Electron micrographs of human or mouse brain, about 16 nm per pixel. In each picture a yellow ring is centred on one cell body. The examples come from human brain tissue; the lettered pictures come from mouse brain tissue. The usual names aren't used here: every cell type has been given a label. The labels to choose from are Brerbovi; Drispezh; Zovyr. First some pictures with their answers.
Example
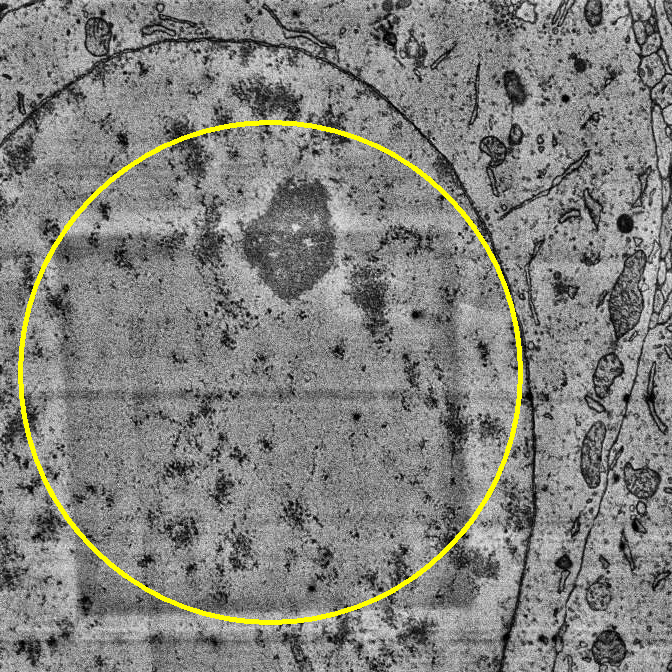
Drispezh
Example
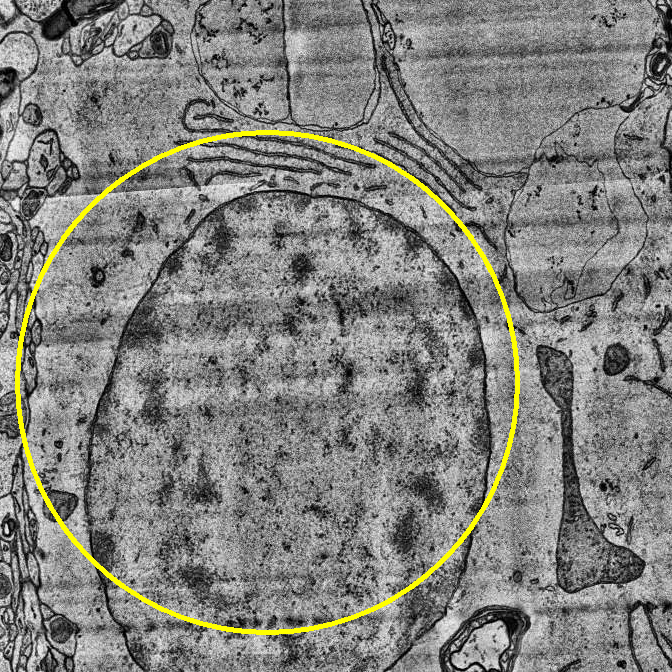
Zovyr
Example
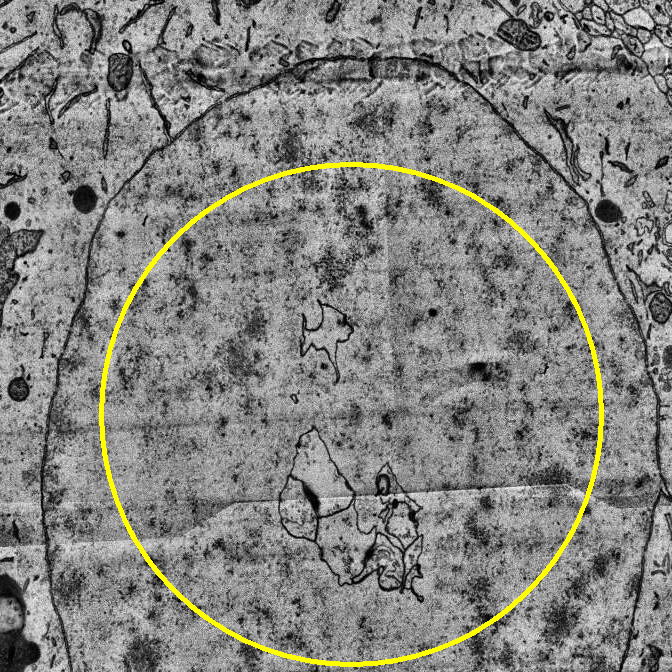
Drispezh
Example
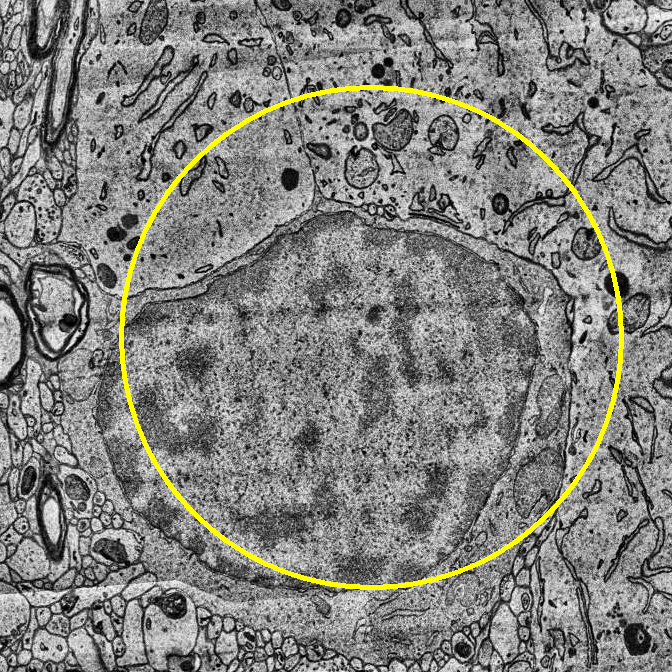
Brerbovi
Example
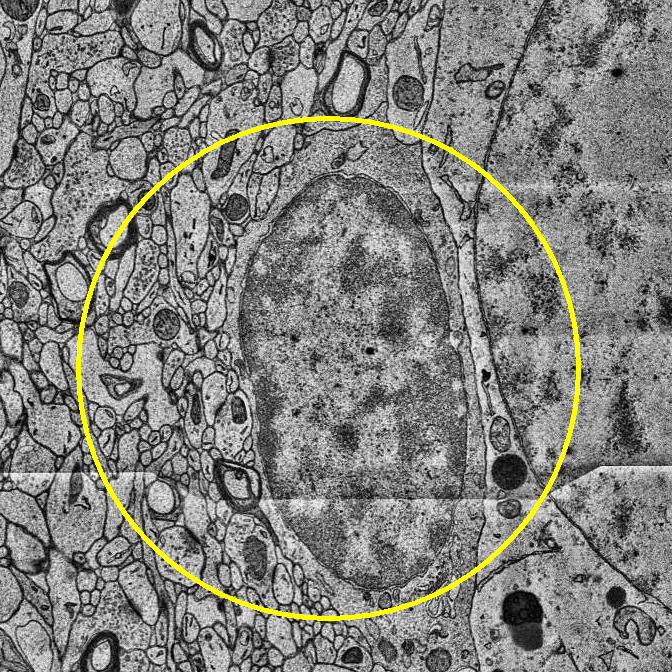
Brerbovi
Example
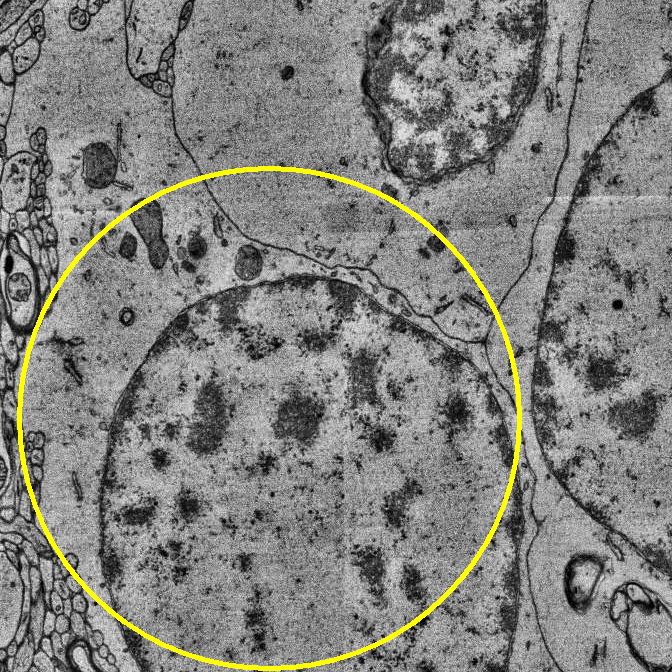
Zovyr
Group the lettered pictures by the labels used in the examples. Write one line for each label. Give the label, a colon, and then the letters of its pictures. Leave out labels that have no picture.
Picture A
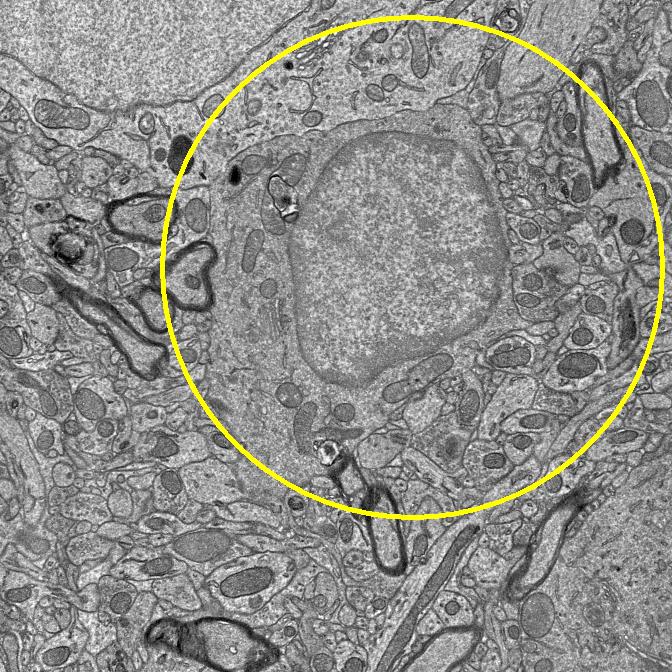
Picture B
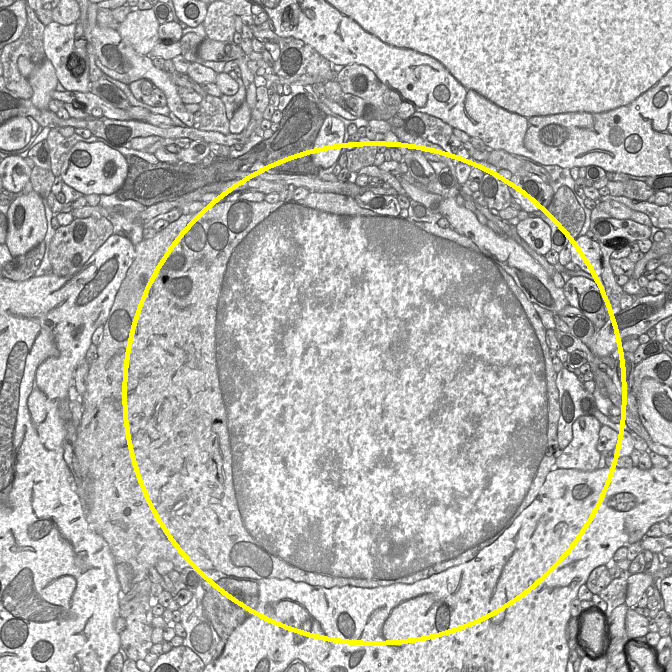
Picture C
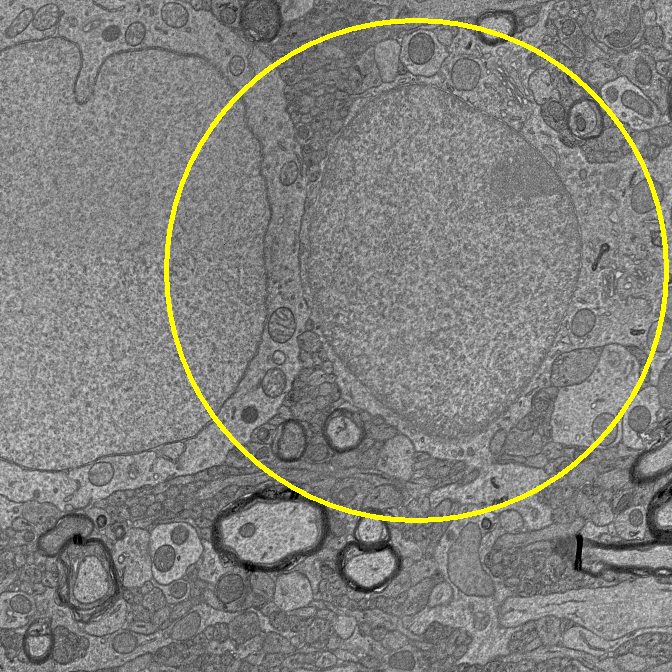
Brerbovi: A, B
Zovyr: C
